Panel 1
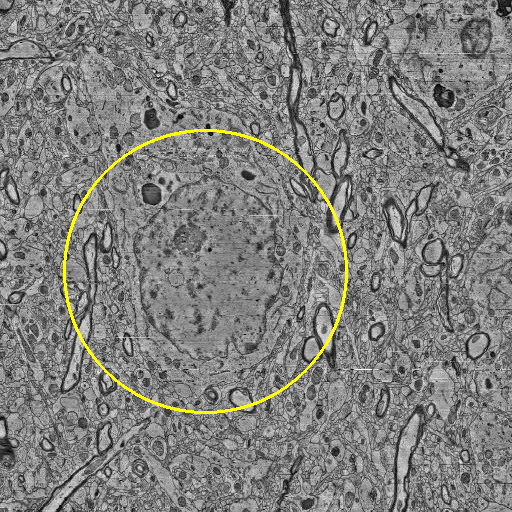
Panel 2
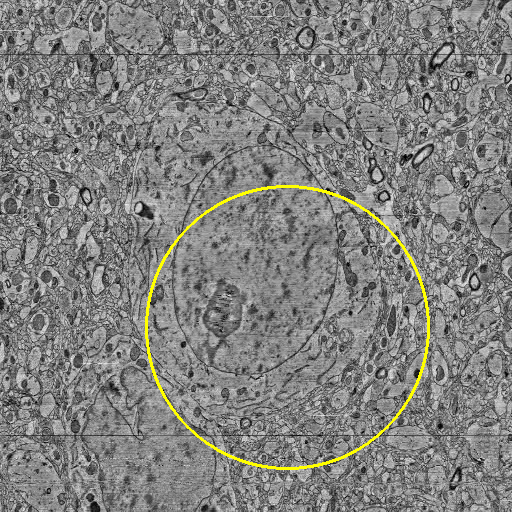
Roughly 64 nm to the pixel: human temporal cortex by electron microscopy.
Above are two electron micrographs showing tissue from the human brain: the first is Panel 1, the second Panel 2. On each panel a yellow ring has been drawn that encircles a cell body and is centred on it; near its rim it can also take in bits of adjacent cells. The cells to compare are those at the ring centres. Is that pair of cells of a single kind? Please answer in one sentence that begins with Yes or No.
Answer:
No, the ring-centred cells of Panel 1 and Panel 2 belong to two kinds.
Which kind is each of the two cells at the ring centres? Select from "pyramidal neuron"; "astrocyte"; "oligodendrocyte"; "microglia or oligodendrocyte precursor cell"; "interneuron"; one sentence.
The cell at the centre of the ring is an interneuron in the first picture and a pyramidal neuron in the second.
